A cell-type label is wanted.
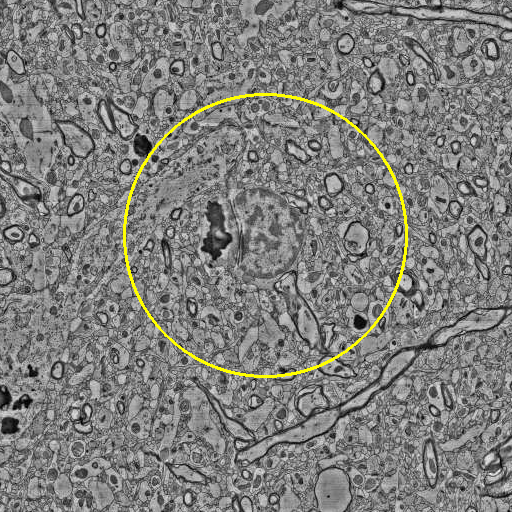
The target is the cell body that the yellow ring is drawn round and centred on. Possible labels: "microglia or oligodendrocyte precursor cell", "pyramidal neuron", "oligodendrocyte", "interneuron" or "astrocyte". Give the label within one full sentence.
Of the labels offered, the cell in the middle of the yellow ring is an oligodendrocyte.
